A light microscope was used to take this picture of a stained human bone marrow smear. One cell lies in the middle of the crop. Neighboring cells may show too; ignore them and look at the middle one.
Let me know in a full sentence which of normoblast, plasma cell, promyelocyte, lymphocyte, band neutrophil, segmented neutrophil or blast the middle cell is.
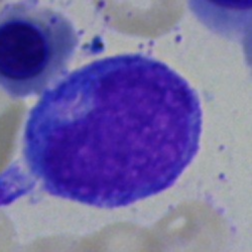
The cell positioned in the middle of the field is a blast.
